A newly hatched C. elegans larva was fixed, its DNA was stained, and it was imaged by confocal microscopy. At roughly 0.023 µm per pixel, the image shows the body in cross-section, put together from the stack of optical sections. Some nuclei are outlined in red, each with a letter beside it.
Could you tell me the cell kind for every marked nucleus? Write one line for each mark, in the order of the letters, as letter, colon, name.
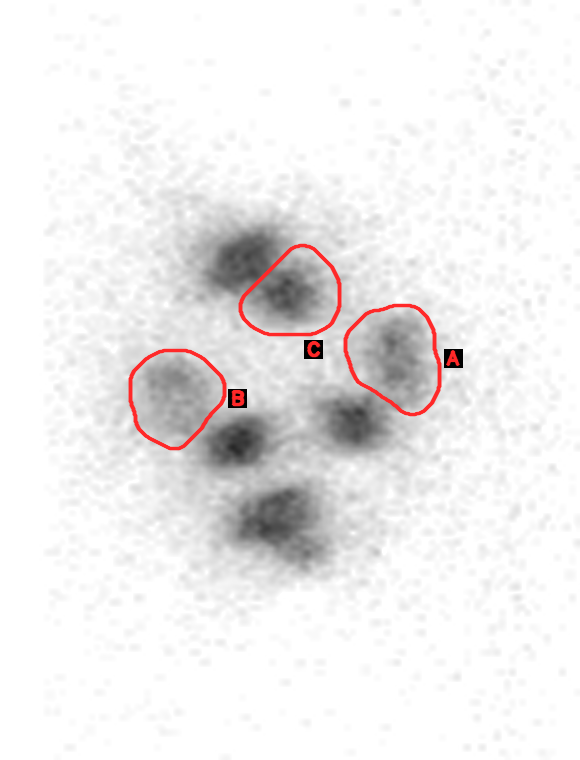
A: hypodermal cell (hyp)
B: hypodermal cell (hyp)
C: pharyngeal muscle cell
